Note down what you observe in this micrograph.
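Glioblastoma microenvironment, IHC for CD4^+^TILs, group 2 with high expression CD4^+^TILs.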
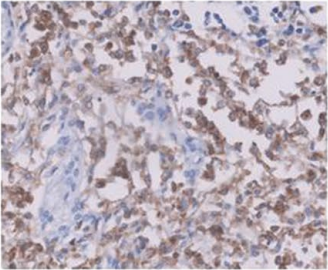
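This field of brain tumour tissue is crowded with small, roundish to irregular cells whose cytoplasm and outlines are stained brown. The brown cells lie loosely, separated by pale spaces, rather than packed into a solid sheet. Among them, blue-counterstained nuclei of unstained cells can still be made out. Toward the left middle there is a band of elongated, pale bluish cells that looks like the wall of a small vessel, with brown cells gathered around it. The brown stain is spread across nearly the whole field rather than confined to one small cluster.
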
